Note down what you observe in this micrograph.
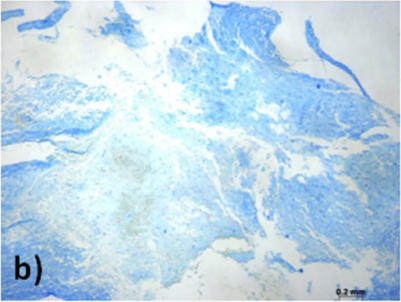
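The blue stain is patchy and much paler than in intact tissue, with large nearly unstained zones in the centre. The tissue is disrupted and torn into irregular fragments separated by many clear spaces.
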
